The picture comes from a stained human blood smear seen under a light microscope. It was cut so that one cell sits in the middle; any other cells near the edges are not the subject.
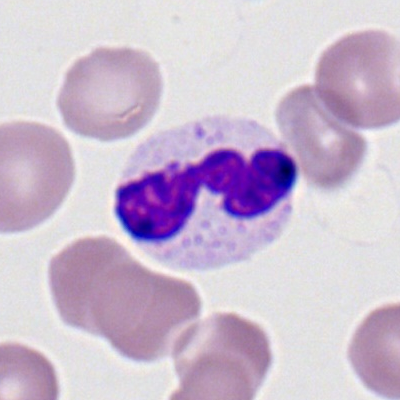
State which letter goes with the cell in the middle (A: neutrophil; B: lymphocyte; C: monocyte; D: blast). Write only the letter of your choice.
A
